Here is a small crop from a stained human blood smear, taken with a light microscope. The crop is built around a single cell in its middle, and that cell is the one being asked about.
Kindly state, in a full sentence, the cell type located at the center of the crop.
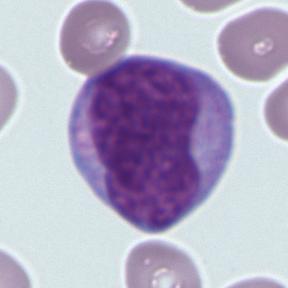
The central element of this crop is a cell, namely an atypical promyelocyte.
